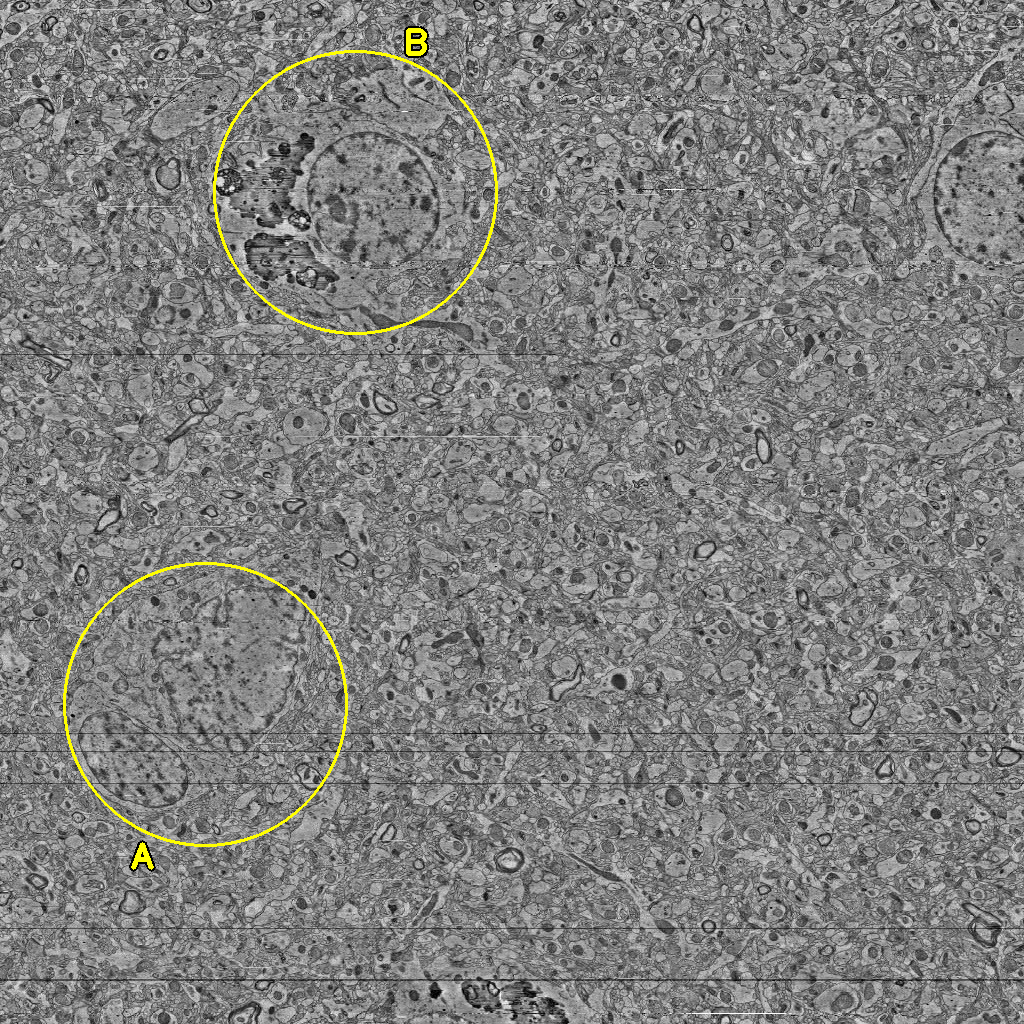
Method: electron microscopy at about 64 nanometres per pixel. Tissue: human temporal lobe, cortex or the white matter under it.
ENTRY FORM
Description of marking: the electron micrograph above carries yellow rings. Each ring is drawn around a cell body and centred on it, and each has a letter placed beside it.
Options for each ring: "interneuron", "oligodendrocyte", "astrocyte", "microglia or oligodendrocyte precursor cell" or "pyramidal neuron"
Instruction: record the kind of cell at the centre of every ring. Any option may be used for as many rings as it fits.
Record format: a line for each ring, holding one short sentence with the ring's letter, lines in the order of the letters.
Ring A surrounds the cell body of an interneuron.
Ring B surrounds the cell body of an astrocyte.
